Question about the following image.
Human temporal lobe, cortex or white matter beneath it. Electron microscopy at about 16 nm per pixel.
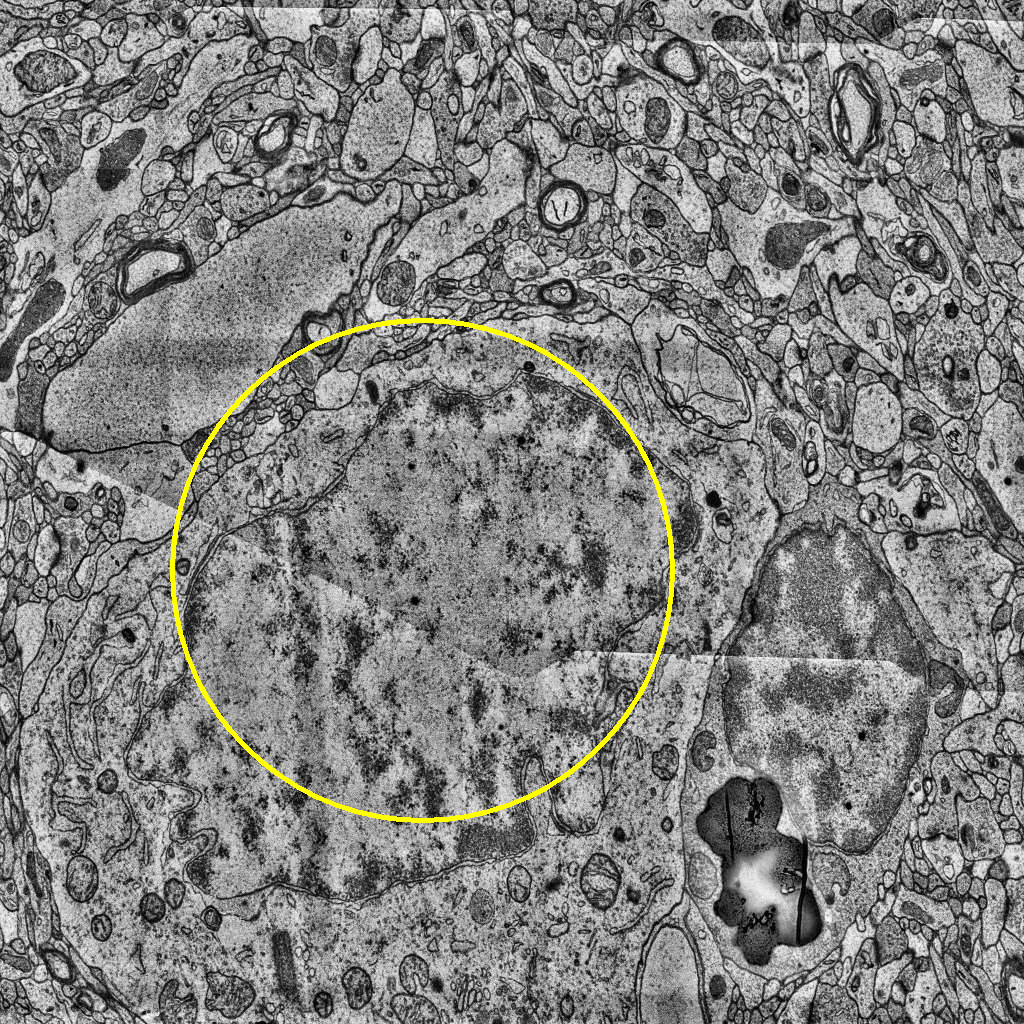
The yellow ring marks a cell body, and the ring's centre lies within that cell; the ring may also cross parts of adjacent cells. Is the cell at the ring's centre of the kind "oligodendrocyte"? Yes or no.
No, it is of another kind.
